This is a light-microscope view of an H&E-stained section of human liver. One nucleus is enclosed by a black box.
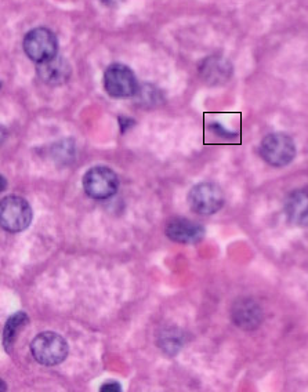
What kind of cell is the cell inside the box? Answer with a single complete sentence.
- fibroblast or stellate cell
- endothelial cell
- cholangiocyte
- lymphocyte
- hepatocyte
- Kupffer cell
What the cell inside the box represents is an endothelial cell.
